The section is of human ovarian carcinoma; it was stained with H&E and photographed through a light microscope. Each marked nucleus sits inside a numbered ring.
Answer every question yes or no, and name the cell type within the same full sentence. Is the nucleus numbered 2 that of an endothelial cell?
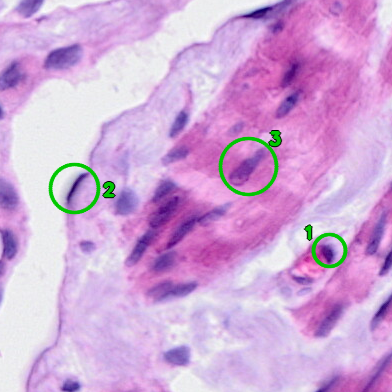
Yes, cell 2 is an endothelial cell in this tissue section.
